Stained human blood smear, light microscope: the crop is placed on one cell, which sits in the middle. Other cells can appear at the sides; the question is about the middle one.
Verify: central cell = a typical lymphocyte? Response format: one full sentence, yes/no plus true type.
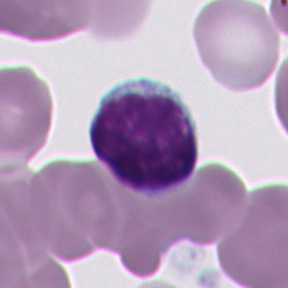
Yes, the cell occupying the center is a typical lymphocyte.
